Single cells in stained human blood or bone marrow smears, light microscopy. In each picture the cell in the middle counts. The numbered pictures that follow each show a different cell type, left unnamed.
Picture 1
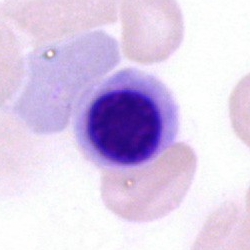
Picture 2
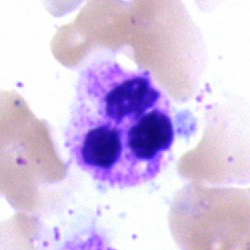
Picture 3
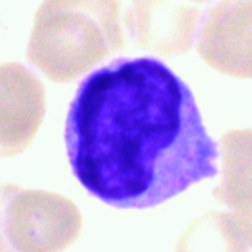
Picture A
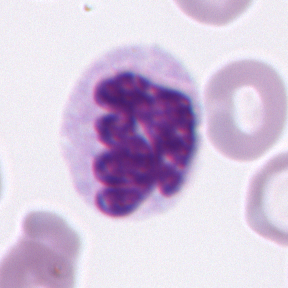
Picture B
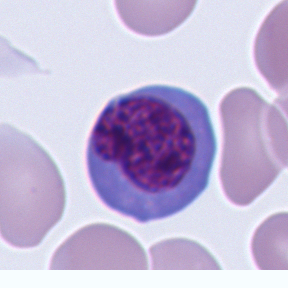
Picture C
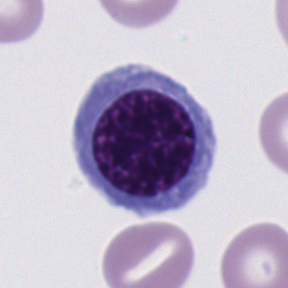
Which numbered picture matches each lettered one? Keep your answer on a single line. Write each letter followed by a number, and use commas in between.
A 2, B 1, C 1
